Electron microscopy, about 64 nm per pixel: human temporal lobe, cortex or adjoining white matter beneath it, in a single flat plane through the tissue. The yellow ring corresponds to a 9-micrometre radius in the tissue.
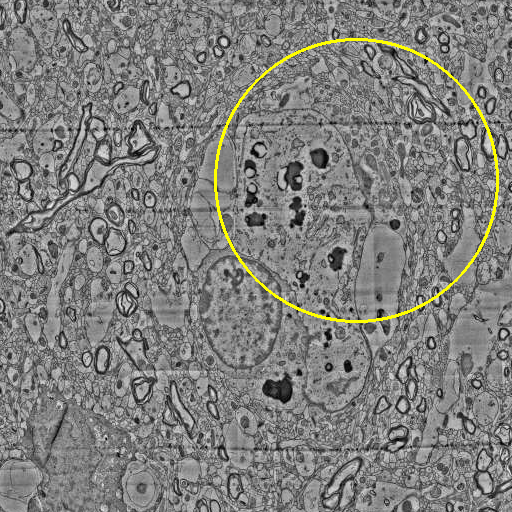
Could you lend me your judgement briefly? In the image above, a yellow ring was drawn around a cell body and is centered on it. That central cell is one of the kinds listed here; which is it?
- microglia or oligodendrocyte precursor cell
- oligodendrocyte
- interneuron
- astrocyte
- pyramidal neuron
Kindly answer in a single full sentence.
Going by the list, a microglial cell or oligodendrocyte precursor cell is the kind at the ring's center in the picture.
